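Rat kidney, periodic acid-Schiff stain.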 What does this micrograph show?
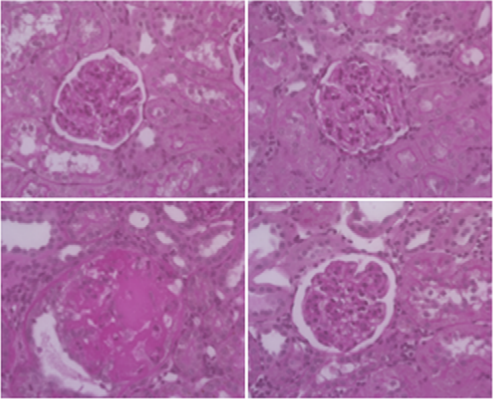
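These are sections of renal cortex, each field centred on a glomerulus surrounded by cross-sectioned tubules. In three fields the glomerulus is a rounded tuft of capillary loops with many small dark nuclei, separated from the surrounding Bowman's capsule by a clear space. The tubules around them are lined by cuboidal epithelial cells with pink cytoplasm and round nuclei, and some have open lumens. In one field the glomerulus is enlarged and its tuft is largely replaced by a smooth, homogeneous pink mass with few nuclei, so that the capillary loops are lost.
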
